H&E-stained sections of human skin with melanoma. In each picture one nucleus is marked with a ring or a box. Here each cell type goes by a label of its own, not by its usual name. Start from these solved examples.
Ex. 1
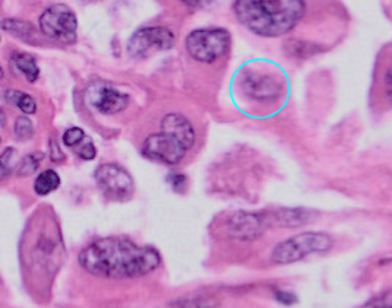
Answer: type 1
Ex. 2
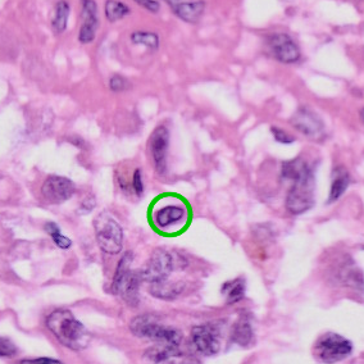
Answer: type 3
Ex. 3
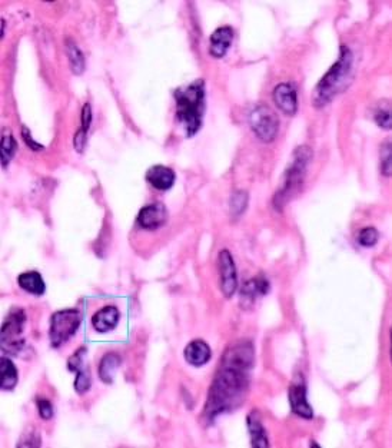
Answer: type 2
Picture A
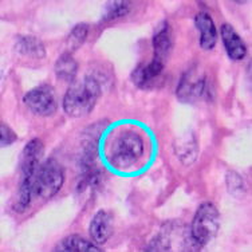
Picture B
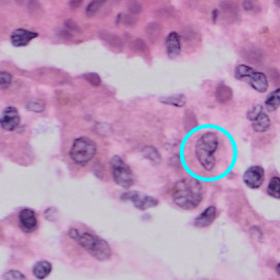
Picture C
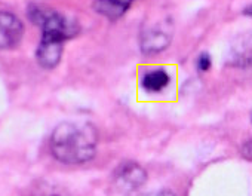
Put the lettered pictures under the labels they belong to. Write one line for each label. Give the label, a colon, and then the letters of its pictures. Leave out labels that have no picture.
type 1: A
type 3: B
type 2: C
